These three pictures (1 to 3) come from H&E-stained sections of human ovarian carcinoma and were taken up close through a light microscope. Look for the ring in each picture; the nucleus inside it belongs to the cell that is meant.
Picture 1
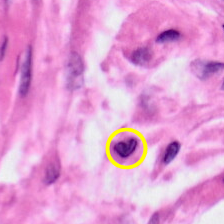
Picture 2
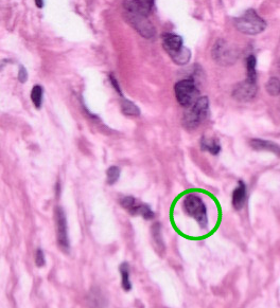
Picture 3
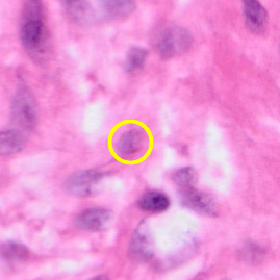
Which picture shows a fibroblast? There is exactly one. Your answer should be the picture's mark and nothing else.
3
